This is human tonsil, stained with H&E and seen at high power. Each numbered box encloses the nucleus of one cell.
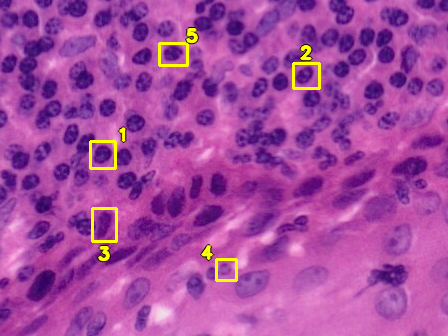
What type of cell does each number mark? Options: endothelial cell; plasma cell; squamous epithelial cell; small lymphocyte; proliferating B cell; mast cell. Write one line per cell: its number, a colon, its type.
1: plasma cell
2: plasma cell
3: squamous epithelial cell
4: squamous epithelial cell
5: plasma cell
